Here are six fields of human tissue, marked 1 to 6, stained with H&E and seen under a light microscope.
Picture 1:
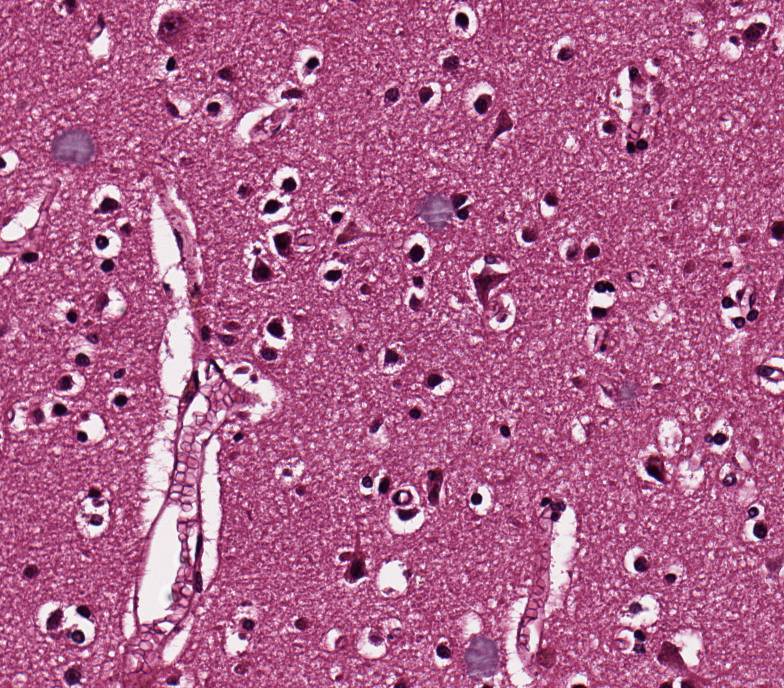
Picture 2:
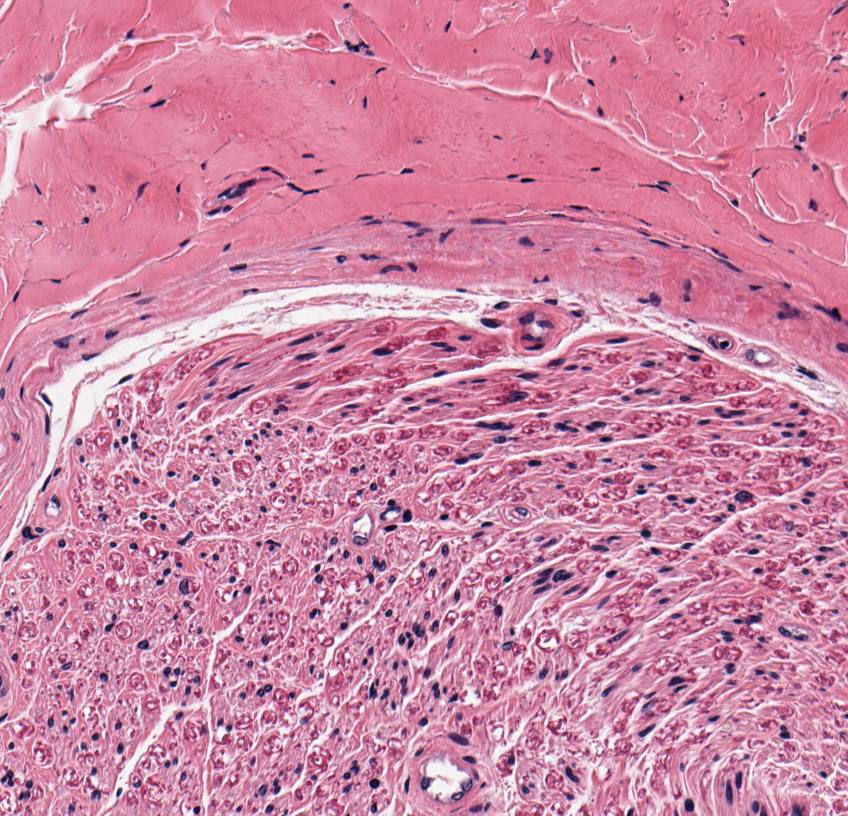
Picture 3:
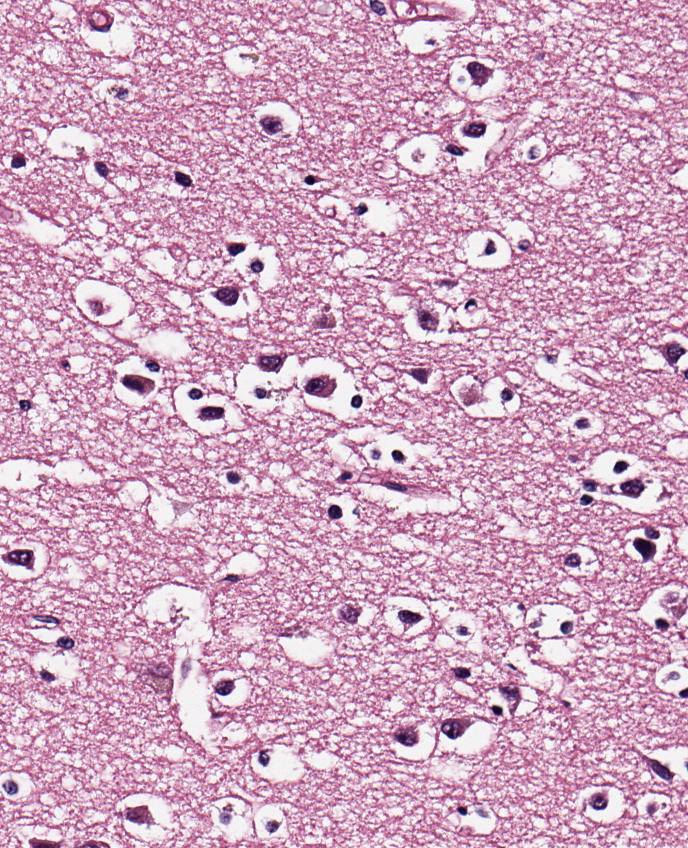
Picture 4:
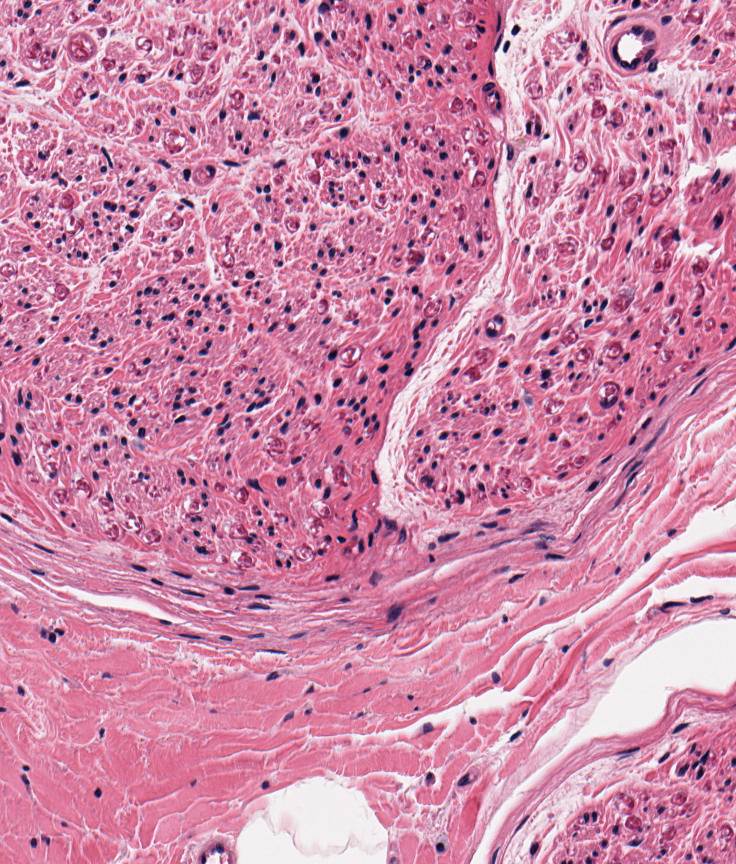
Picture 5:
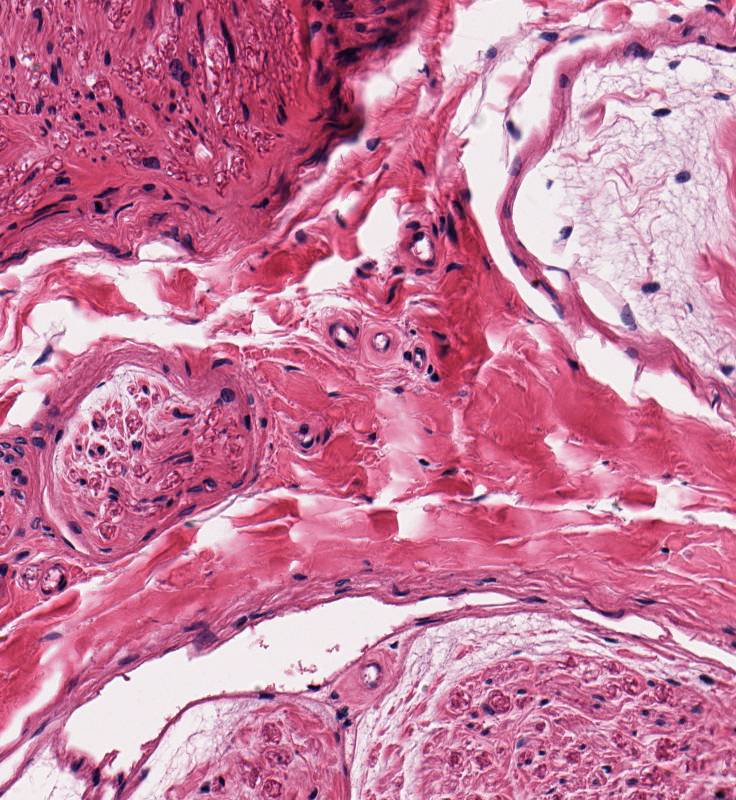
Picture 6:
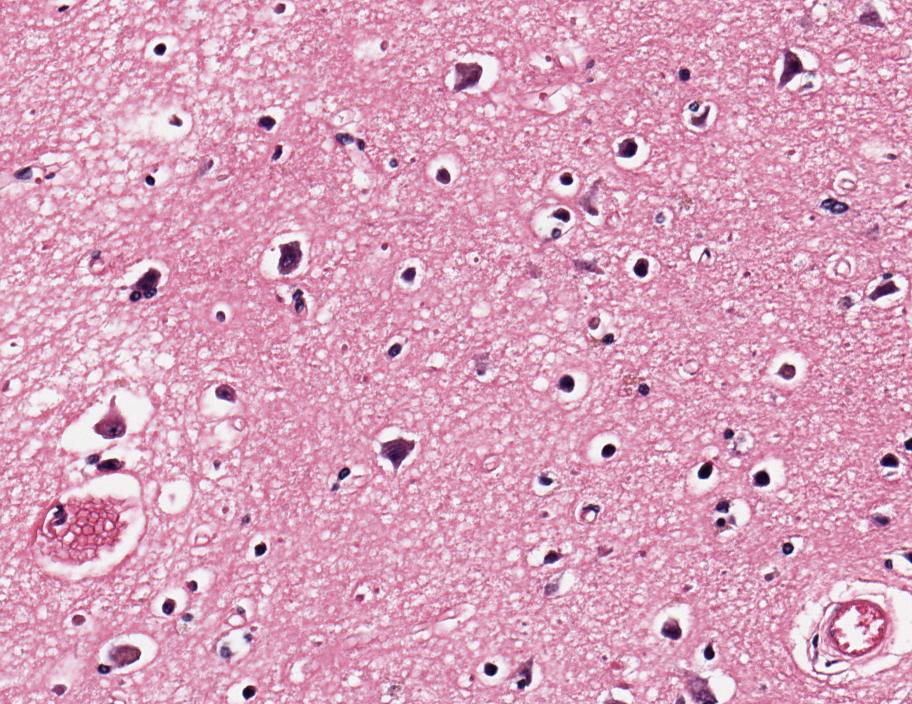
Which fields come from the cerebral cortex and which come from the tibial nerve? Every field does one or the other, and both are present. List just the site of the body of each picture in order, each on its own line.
cerebral cortex
tibial nerve
cerebral cortex
tibial nerve
tibial nerve
cerebral cortex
